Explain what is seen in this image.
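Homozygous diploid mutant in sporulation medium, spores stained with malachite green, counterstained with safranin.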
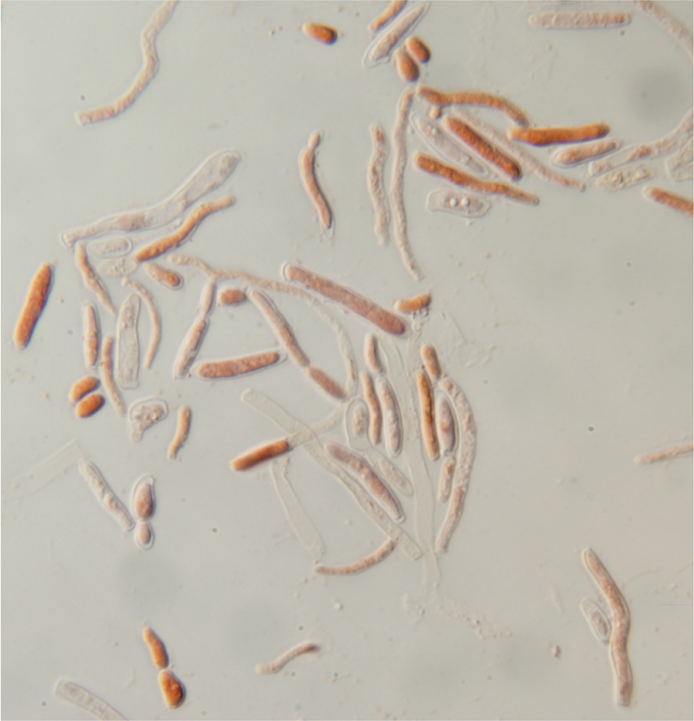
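The cells are mostly elongated, rod- or sausage-shaped, some stained solid orange-pink and others pale with only a faint outline. Several form long filaments or chains of cells joined end to end, and a few short oval cells sit among them. No rounded sacs holding small green bodies are present anywhere in the field.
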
